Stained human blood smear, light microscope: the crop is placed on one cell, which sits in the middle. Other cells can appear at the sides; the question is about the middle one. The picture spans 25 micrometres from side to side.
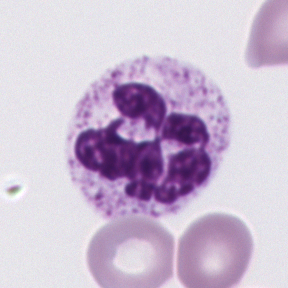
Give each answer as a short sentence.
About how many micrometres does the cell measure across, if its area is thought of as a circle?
Taken as a circle, the cell has a diameter of about 14 micrometres.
